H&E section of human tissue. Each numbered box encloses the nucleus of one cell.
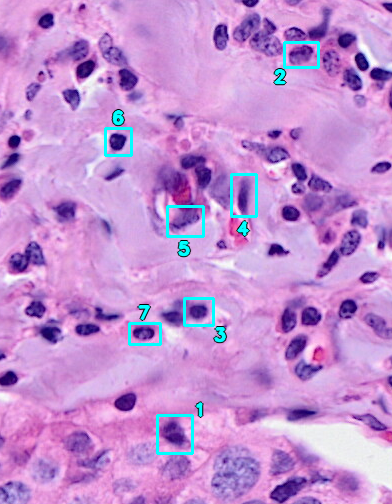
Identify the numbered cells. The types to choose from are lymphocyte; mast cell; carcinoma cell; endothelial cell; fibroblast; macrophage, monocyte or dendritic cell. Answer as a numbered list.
1. carcinoma cell
2. lymphocyte
3. lymphocyte
4. endothelial cell
5. endothelial cell
6. lymphocyte
7. mast cell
